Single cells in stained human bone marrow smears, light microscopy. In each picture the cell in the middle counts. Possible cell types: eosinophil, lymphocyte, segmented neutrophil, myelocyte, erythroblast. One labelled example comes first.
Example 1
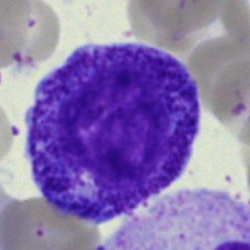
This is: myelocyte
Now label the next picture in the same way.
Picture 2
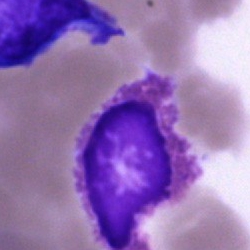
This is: eosinophil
